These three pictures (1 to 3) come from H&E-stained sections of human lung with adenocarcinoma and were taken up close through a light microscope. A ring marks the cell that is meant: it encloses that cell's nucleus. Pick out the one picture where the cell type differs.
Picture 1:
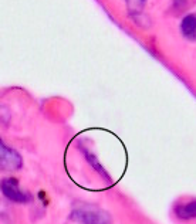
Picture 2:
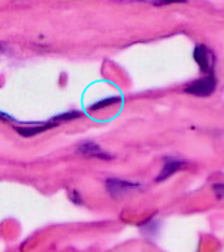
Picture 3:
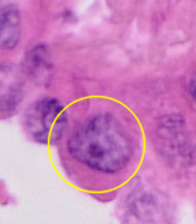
3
